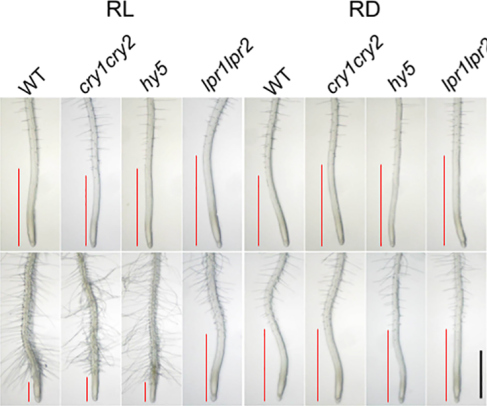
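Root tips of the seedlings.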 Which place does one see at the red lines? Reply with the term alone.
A: Meristematic and elongation zones.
